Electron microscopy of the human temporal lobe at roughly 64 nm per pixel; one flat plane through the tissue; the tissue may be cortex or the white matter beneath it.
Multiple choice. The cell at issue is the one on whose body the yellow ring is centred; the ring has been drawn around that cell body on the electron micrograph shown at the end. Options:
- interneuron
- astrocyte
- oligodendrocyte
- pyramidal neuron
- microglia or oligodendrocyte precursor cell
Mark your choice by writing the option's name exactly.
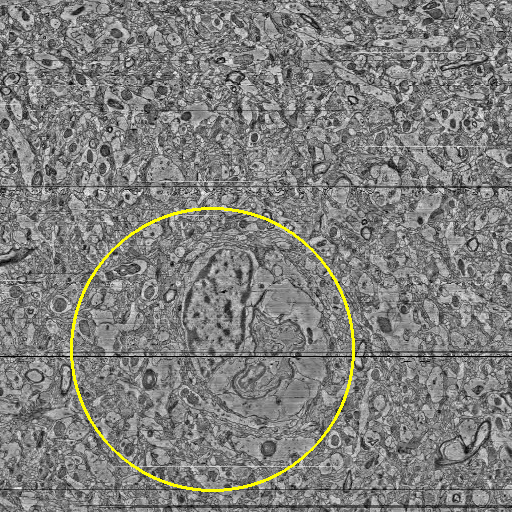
microglia or oligodendrocyte precursor cell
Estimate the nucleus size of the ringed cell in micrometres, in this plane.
Roughly 7 by 4 micrometres in this plane, for the nucleus of the ringed cell.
